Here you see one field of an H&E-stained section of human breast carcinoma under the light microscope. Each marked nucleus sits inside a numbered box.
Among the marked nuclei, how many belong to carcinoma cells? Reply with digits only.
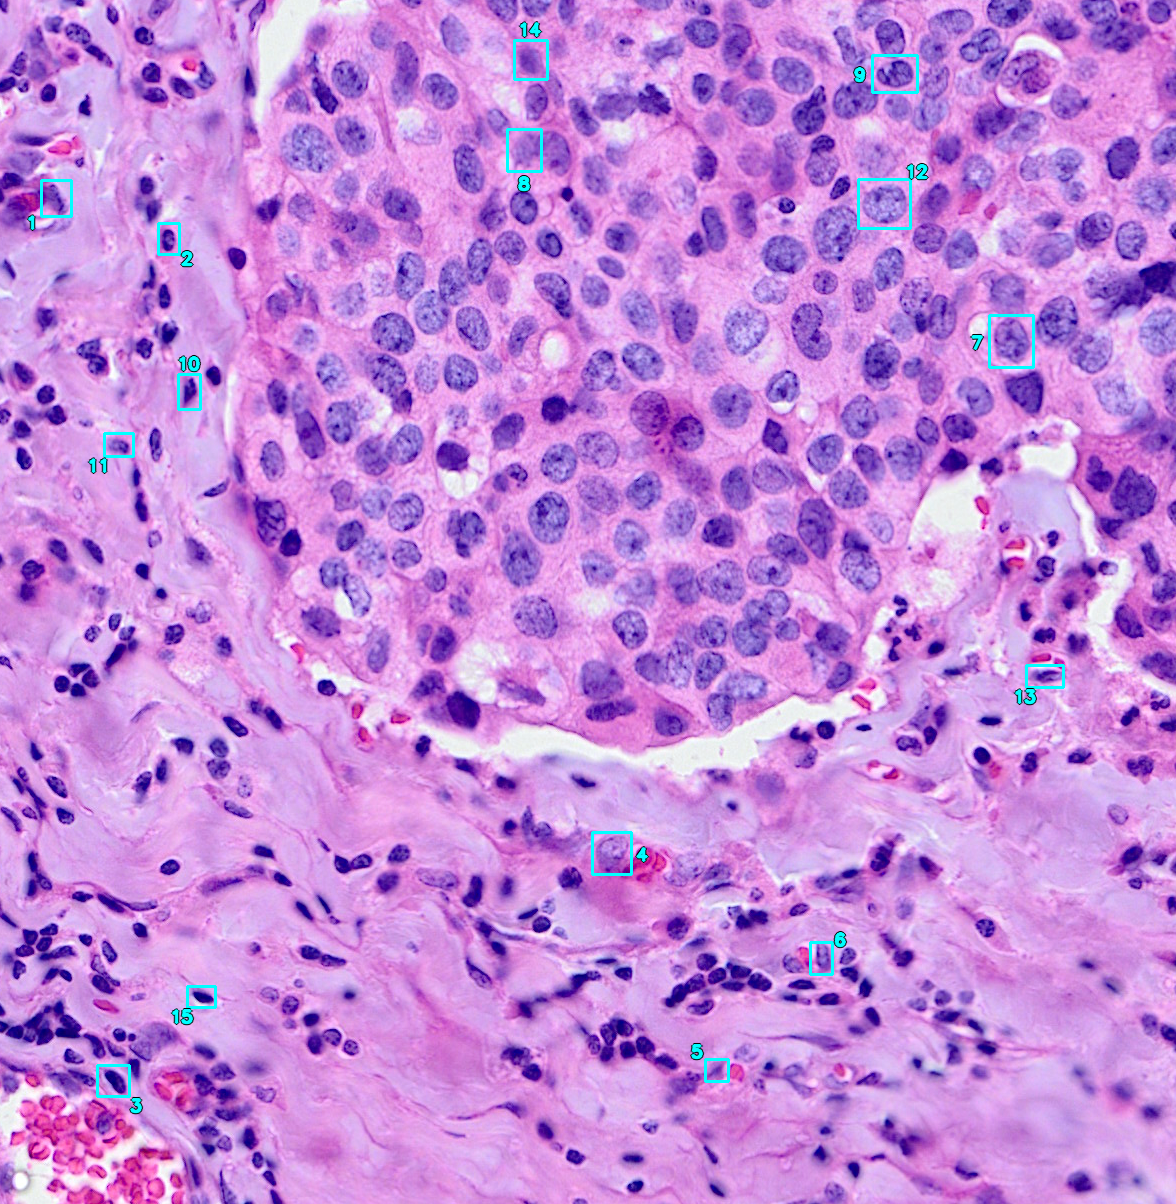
5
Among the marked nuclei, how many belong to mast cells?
3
